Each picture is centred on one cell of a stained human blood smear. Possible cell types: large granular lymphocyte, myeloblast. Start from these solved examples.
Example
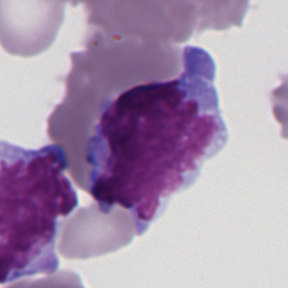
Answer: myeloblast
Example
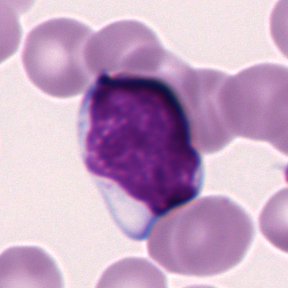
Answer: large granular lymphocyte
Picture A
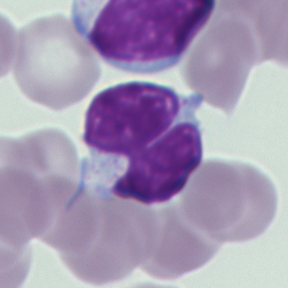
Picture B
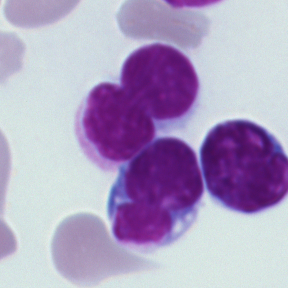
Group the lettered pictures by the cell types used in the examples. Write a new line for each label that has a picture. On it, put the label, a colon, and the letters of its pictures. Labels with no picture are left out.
large granular lymphocyte: A
myeloblast: B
